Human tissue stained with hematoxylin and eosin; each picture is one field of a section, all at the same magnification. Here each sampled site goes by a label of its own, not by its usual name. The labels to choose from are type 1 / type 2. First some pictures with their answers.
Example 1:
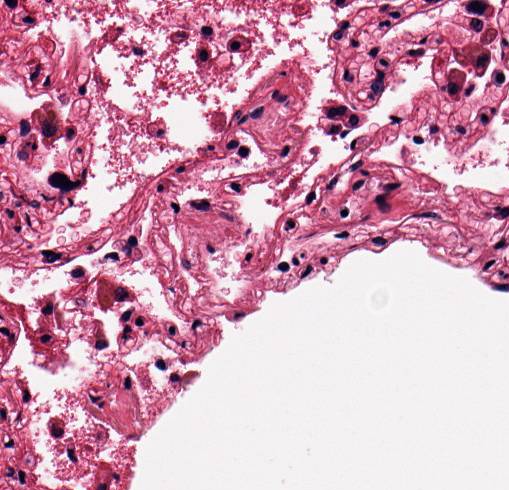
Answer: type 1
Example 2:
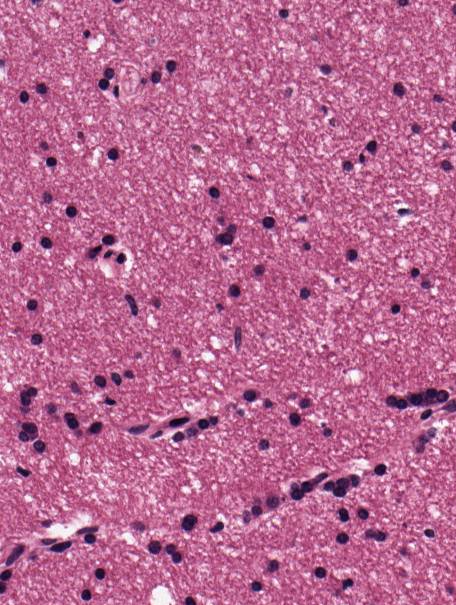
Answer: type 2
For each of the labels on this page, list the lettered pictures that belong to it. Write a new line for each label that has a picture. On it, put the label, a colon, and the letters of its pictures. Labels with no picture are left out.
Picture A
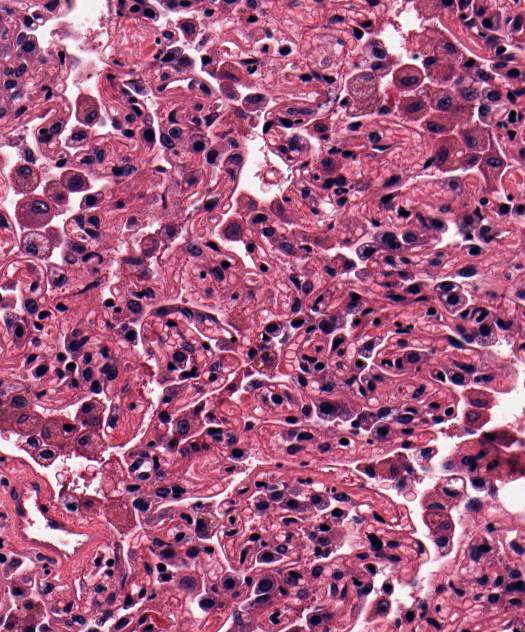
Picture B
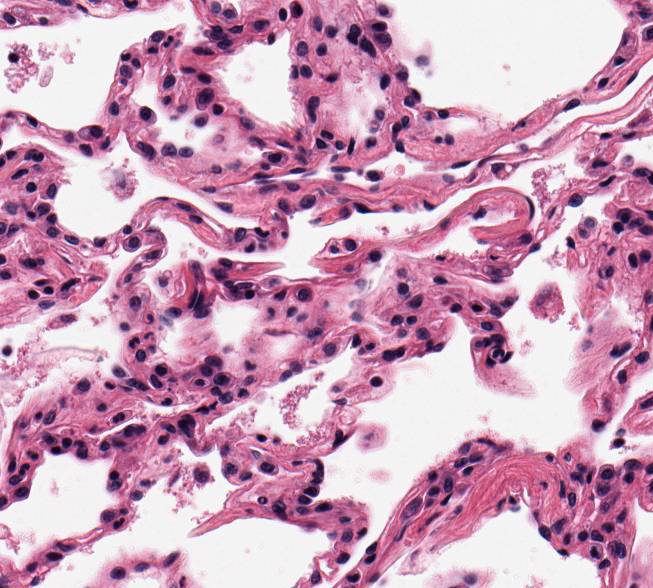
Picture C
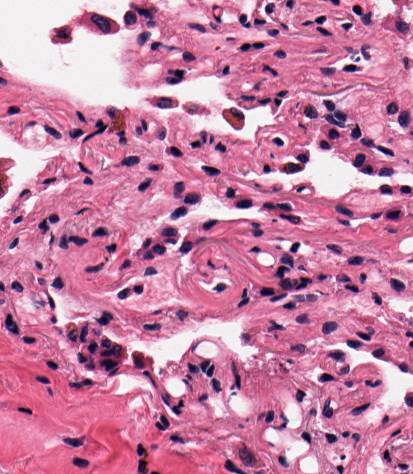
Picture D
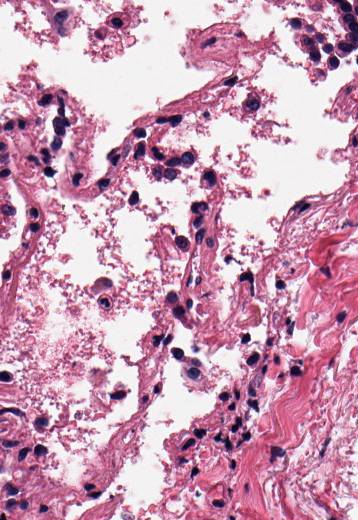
type 1: A, B, C, D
